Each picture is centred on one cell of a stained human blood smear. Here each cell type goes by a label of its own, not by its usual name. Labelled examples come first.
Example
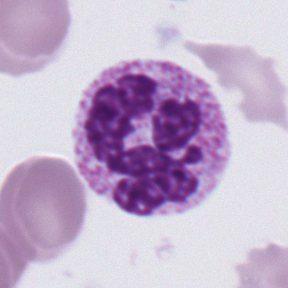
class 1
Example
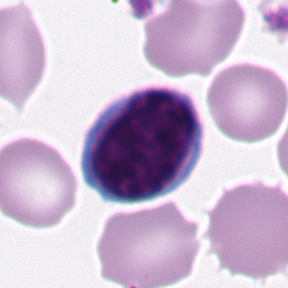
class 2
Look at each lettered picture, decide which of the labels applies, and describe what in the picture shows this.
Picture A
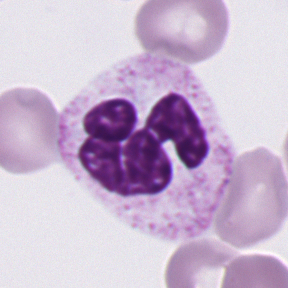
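class 1. Reason: The cytoplasm is plentiful and pale pinkish.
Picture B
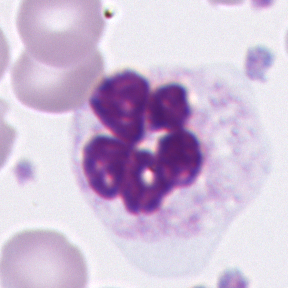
class 1. Reason: The cytoplasm is abundant and pale pinkish-lilac.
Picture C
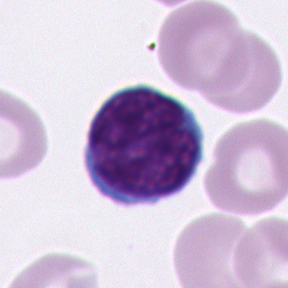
class 2. Reason: The cytoplasm forms only a thin rim, widest at the lower left.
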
